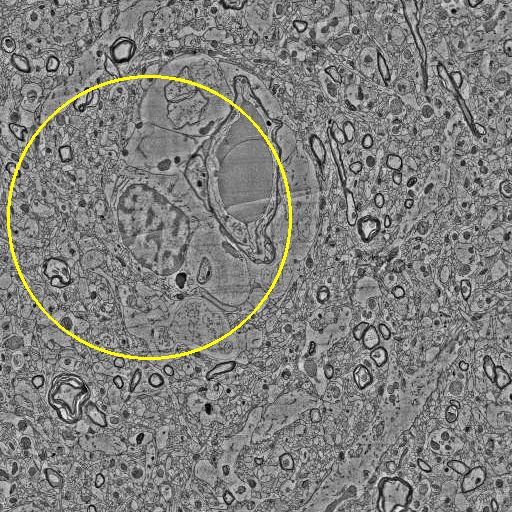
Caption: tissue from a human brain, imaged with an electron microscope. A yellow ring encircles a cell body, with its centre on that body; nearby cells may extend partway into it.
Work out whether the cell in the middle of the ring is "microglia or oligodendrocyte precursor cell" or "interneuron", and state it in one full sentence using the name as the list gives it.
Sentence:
In the picture, the cell that the yellow ring surrounds at its centre is a microglial cell or oligodendrocyte precursor cell.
